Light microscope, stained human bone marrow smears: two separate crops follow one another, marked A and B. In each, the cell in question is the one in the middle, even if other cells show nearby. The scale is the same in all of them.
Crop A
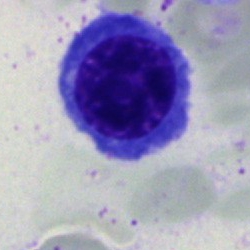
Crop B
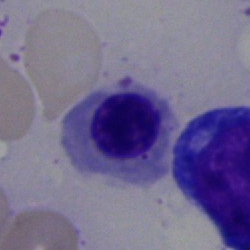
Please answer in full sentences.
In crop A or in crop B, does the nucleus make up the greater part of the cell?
The nucleus fills more of the cell in crop A than in crop B.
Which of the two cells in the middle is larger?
Crop A holds the larger cell; it covers about 1.5 times the area of the cell in crop B.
